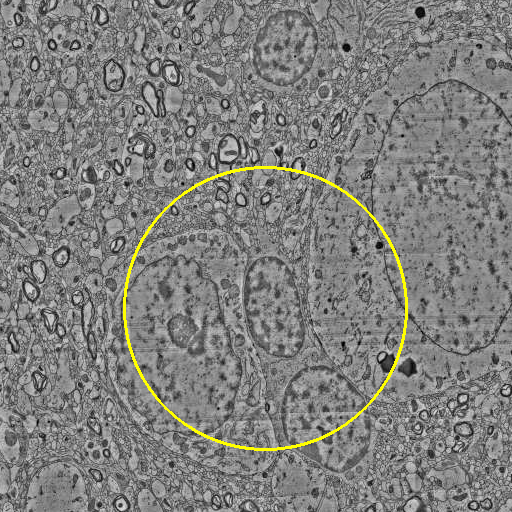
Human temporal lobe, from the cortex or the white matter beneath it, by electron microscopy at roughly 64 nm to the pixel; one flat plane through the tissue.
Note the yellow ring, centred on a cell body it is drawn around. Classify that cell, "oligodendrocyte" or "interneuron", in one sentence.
The cell the ring is centred on is an oligodendrocyte.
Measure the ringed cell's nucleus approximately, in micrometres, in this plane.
Roughly 7 micrometres by 4 micrometres, so the nucleus is clearly longer than it is wide in this plane.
